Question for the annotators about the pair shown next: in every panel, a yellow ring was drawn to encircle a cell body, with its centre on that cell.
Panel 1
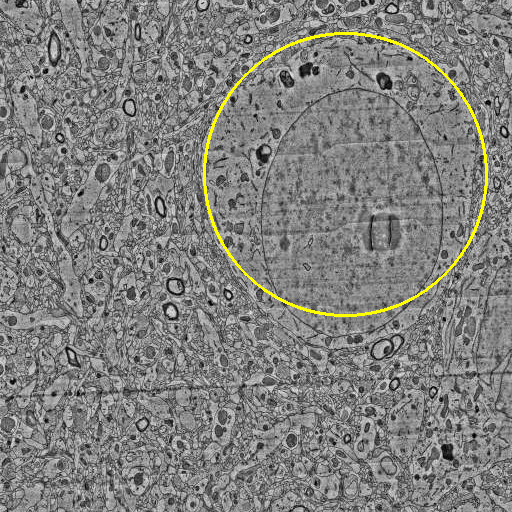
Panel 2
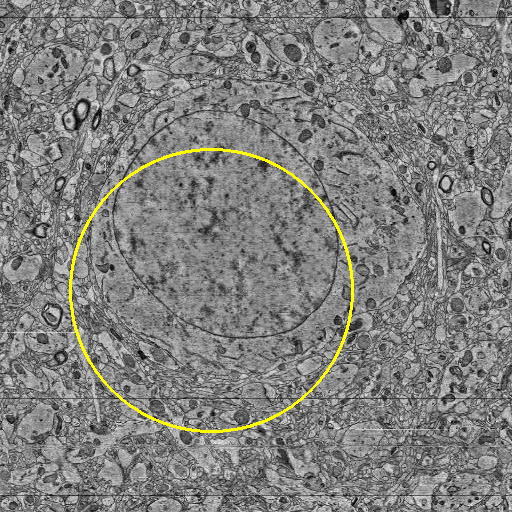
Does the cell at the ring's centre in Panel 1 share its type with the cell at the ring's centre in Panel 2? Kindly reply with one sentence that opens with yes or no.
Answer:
Yes, in Panels 1 and 2 the cells at the ring centres belong to a single type.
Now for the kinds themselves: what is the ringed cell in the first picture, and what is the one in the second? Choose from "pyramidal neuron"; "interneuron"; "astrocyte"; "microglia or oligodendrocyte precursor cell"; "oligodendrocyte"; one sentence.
In the first picture and in the second, the ring is centred on a pyramidal neuron.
